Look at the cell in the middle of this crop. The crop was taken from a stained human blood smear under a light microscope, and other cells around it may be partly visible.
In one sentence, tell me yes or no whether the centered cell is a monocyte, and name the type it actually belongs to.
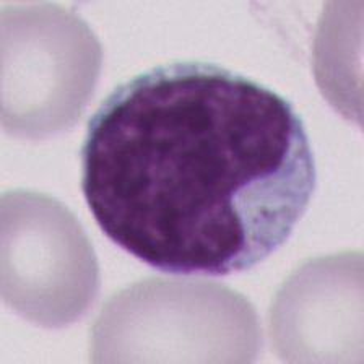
No, rather than a monocyte, the central cell is a large granular lymphocyte.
